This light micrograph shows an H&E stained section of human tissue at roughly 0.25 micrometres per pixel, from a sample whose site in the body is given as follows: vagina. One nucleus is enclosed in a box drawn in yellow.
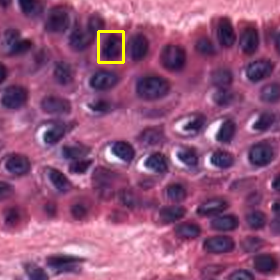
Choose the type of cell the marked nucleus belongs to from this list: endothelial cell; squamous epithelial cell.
squamous epithelial cell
